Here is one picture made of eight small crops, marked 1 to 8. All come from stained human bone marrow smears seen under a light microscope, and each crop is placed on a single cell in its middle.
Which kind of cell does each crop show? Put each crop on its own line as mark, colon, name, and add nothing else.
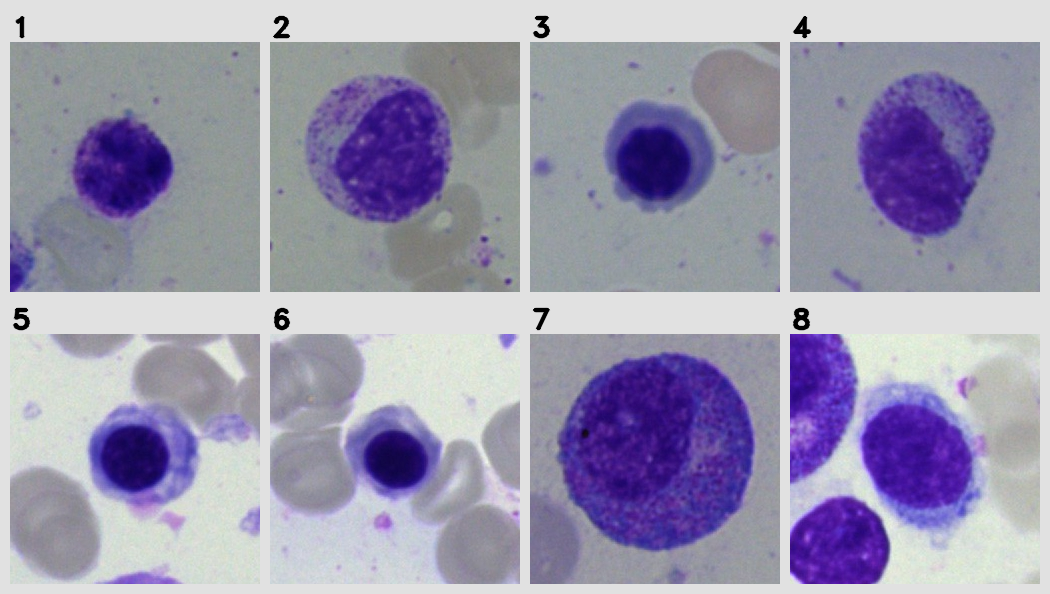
1: basophil
2: myelocyte
3: erythroblast
4: myelocyte
5: erythroblast
6: erythroblast
7: promyelocyte
8: hairy cell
